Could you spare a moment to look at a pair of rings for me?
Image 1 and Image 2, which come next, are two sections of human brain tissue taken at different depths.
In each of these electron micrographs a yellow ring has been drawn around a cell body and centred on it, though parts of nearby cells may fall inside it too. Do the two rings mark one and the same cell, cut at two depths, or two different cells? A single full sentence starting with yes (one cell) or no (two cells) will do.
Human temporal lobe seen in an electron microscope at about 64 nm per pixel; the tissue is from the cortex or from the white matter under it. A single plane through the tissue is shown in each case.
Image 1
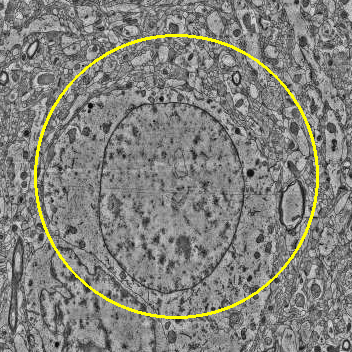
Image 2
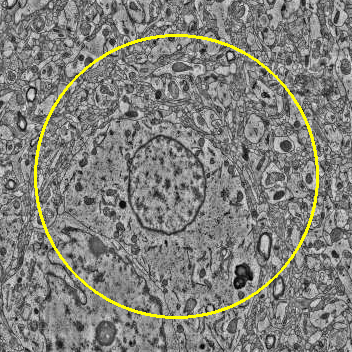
Yes, both yellow rings were placed on the same cell.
